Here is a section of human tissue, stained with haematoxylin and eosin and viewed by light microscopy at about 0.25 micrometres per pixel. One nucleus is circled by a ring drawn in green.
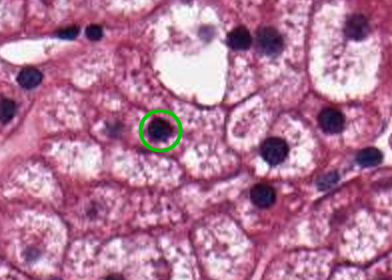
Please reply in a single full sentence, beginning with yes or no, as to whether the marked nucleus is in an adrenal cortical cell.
Yes, the marked nucleus is recognised as belonging to an adrenal cortical cell.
